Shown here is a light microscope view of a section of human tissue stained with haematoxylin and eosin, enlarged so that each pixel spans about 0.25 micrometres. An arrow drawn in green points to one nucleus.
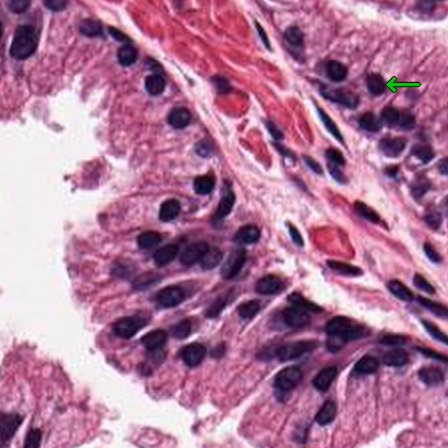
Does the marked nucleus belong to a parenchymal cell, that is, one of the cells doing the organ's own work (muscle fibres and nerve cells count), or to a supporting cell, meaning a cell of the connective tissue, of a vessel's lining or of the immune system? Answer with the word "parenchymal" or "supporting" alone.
parenchymal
